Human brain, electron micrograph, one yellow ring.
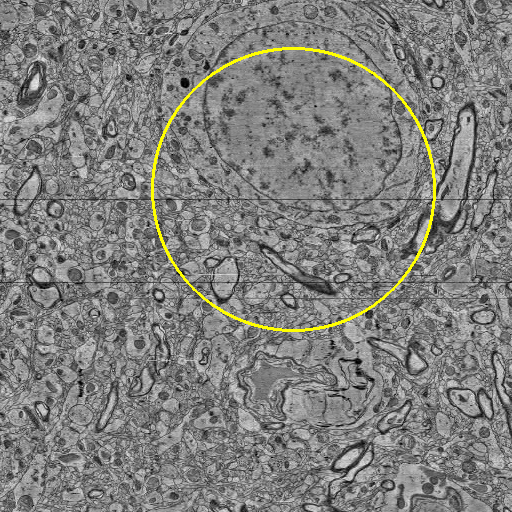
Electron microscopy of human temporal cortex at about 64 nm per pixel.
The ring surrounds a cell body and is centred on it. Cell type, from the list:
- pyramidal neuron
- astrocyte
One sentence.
The yellow ring circles a pyramidal neuron.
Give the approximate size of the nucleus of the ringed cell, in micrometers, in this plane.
In this plane, approximately 14 by 12 micrometers.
